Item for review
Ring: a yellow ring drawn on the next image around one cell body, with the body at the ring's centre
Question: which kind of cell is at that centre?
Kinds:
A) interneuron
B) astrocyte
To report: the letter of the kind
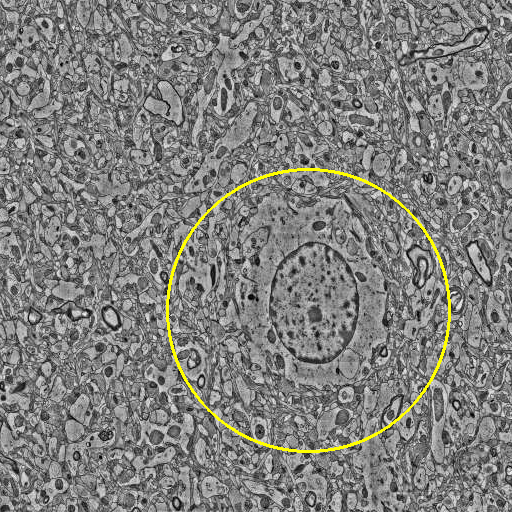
B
